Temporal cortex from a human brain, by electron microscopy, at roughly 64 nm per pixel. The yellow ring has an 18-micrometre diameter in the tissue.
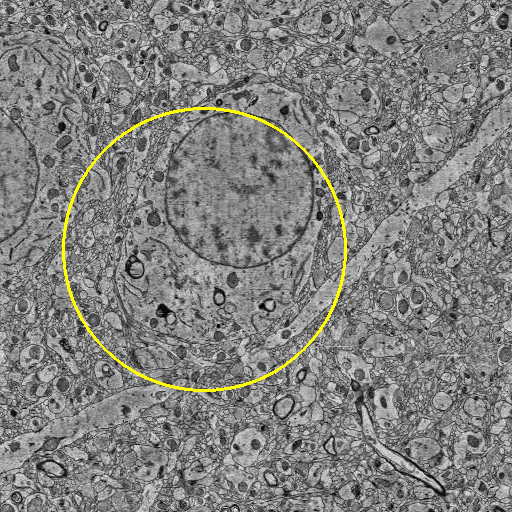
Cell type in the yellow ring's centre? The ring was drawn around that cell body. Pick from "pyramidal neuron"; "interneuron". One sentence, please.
The ringed cell body is that of a pyramidal neuron.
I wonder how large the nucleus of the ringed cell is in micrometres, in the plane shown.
Approximately 10 micrometers across in this plane.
